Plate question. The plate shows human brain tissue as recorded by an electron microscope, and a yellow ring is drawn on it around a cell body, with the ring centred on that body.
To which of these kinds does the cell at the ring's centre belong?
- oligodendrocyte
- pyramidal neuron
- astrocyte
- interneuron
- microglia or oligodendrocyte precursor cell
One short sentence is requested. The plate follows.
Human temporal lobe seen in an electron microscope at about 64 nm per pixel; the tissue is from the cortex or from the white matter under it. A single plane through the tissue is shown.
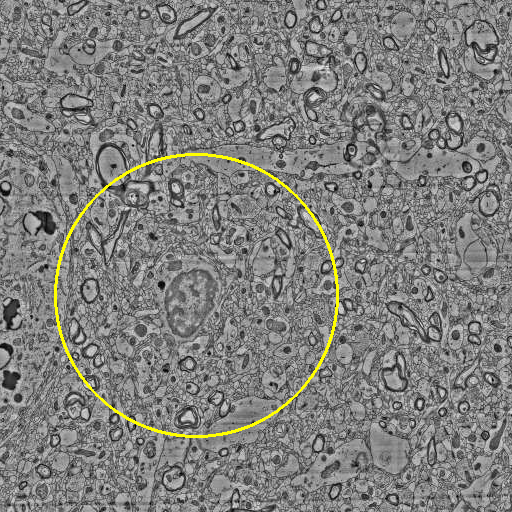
The cell at the ring's centre is an oligodendrocyte.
